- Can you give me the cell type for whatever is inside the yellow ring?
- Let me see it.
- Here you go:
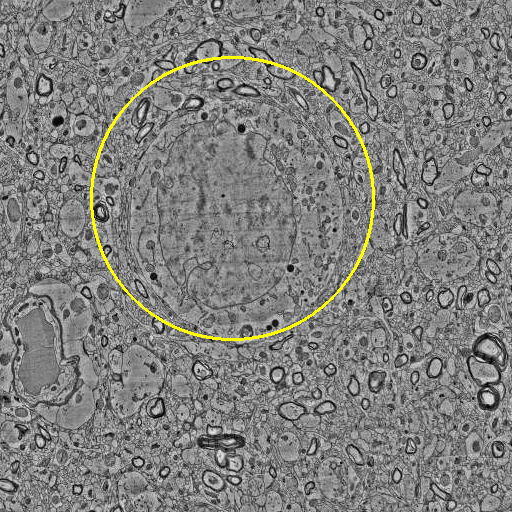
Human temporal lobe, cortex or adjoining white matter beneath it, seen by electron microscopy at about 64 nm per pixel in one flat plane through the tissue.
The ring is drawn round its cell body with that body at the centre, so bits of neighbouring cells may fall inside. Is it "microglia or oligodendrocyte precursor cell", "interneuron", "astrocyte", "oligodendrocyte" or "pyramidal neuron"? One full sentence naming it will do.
The cell body in the middle of the ring in this picture belongs to a pyramidal neuron.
